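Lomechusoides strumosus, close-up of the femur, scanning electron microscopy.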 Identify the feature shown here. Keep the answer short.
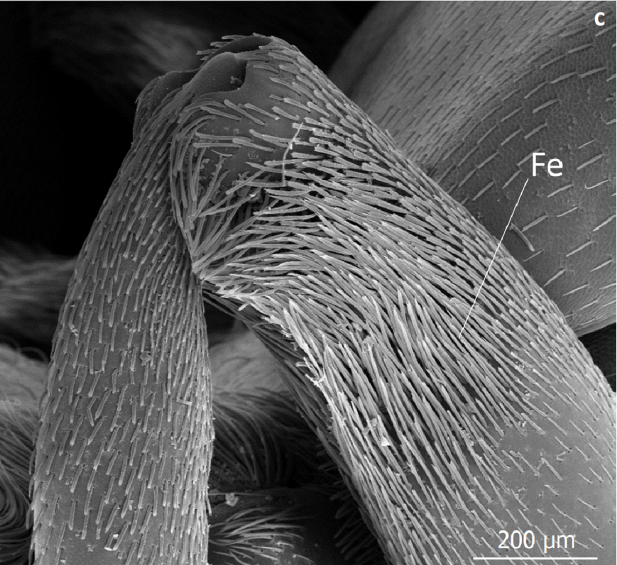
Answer: trichome setae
